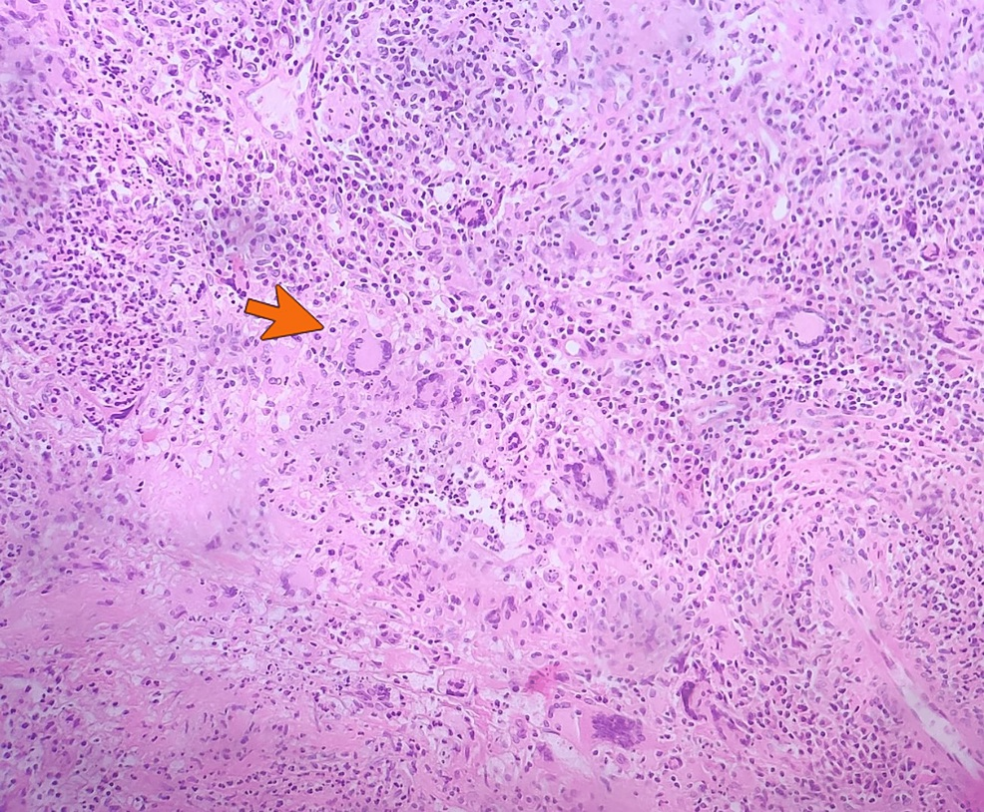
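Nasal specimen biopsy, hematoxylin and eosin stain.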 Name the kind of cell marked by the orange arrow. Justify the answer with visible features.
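The arrow points to a large cell with pink cytoplasm. Many nuclei sit in a ring at the edge of this cell. Several similar large cells lie scattered across the field. So: multinucleated giant cells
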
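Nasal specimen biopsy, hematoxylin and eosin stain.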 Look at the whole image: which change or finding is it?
granulomatous inflammation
